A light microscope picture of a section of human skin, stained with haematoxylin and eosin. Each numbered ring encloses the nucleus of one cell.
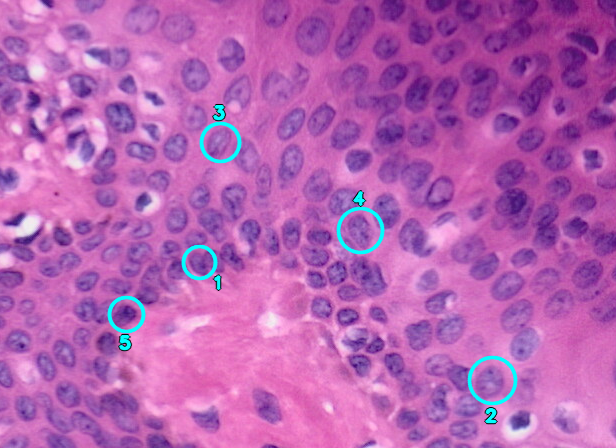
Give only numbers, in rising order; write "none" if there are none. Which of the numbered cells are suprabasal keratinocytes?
2, 3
